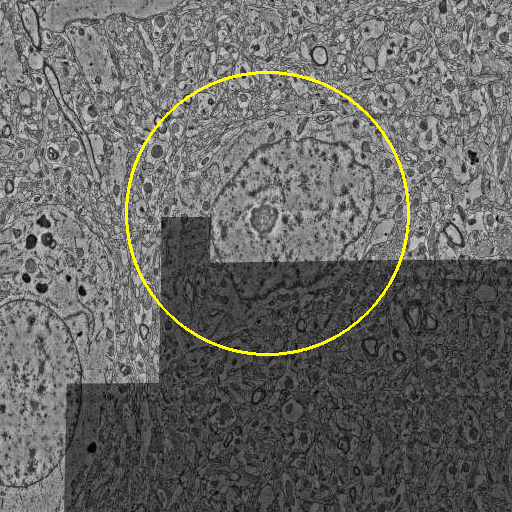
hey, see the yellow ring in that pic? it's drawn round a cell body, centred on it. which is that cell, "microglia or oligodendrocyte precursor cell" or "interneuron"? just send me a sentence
The cell in the ring is an interneuron.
